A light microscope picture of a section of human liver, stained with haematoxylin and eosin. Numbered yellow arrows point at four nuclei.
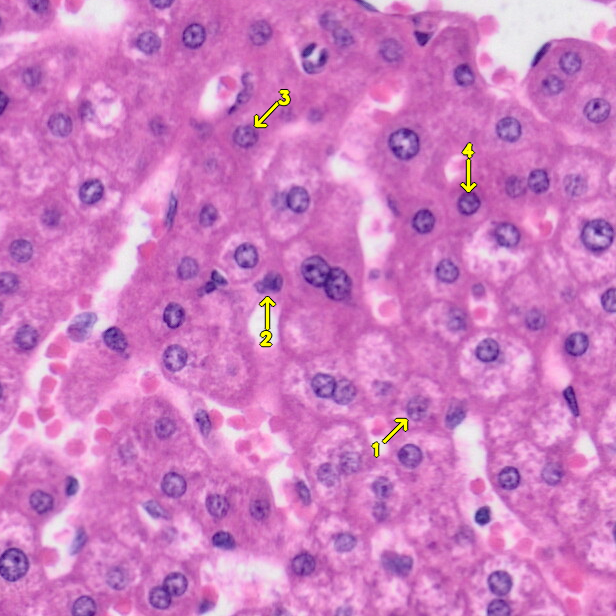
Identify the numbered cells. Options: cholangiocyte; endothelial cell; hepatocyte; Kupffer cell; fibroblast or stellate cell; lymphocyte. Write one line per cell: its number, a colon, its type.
1: hepatocyte
2: fibroblast or stellate cell
3: hepatocyte
4: hepatocyte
